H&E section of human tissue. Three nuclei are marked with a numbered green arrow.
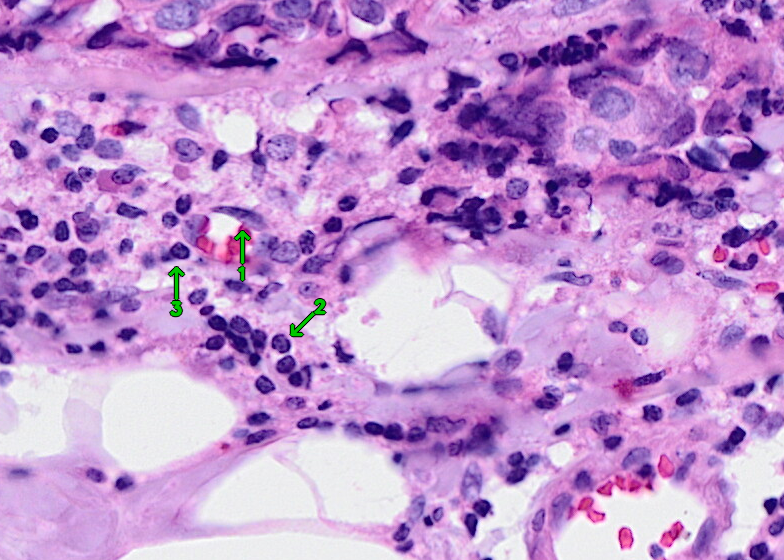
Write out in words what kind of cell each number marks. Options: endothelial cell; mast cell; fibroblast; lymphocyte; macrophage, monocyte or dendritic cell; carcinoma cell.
Cell 1 is an endothelial cell. Cells 2 and 3 are lymphocytes.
